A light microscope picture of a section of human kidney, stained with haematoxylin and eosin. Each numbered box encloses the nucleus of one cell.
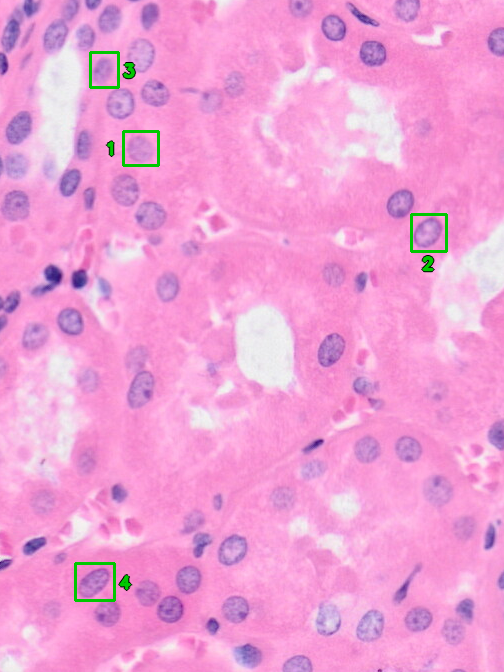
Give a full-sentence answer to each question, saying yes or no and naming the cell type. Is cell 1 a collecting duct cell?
No, rather than a collecting duct cell, cell number 1 is a proximal tubule cell.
